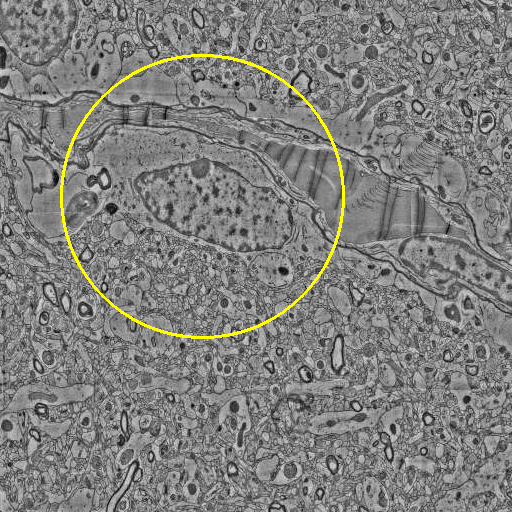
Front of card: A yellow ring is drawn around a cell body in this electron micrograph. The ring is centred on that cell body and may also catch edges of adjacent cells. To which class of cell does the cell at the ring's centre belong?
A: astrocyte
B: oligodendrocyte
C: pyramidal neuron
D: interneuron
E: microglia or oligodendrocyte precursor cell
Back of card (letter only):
E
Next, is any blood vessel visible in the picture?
Yes, there is a blood vessel.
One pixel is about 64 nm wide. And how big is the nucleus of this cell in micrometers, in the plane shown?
Roughly 10 micrometres by 5 micrometres, so the nucleus is clearly longer than it is wide in this plane.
